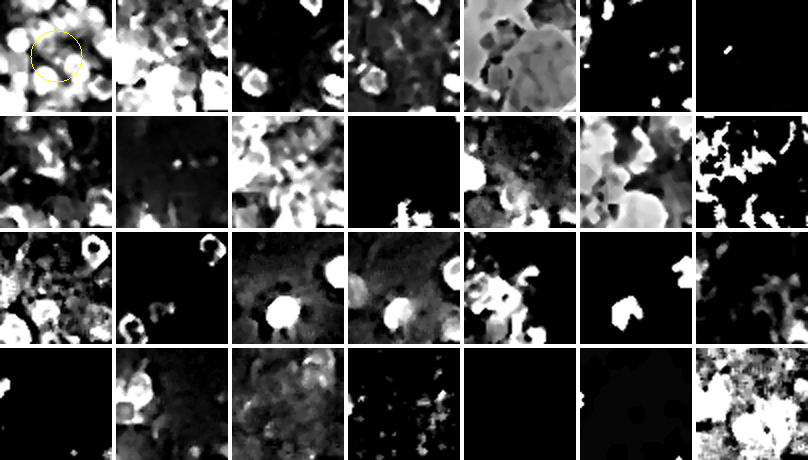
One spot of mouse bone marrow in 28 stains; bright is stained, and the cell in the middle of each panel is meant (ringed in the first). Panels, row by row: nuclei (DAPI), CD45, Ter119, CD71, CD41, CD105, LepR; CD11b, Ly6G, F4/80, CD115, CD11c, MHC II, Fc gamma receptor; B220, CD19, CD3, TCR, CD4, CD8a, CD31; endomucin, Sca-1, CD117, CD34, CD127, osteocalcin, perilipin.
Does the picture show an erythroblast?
No, it shows a conventional dendritic cell.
